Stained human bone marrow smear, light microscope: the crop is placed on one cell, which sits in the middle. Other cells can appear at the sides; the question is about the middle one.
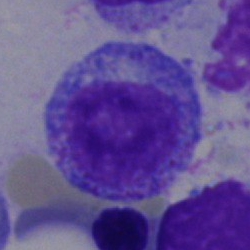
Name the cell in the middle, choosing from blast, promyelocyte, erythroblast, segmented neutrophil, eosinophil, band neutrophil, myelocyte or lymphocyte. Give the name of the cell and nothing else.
promyelocyte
